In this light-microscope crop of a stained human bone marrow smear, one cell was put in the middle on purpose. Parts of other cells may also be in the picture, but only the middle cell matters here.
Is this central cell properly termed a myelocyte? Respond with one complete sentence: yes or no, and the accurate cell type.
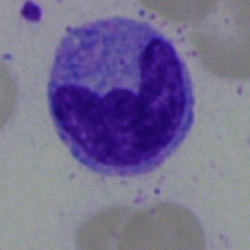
No, wrong label: the middle cell is a monocyte instead of a myelocyte.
